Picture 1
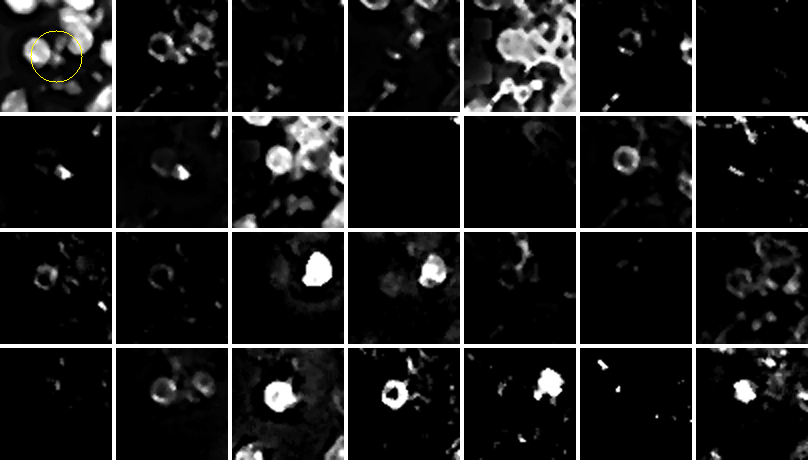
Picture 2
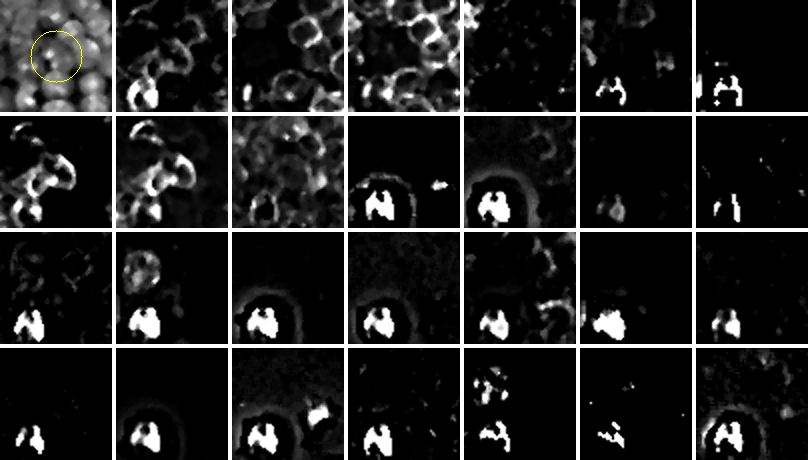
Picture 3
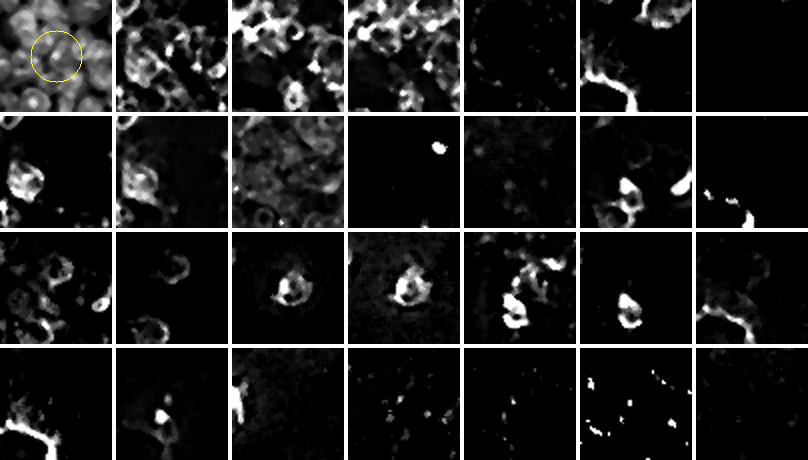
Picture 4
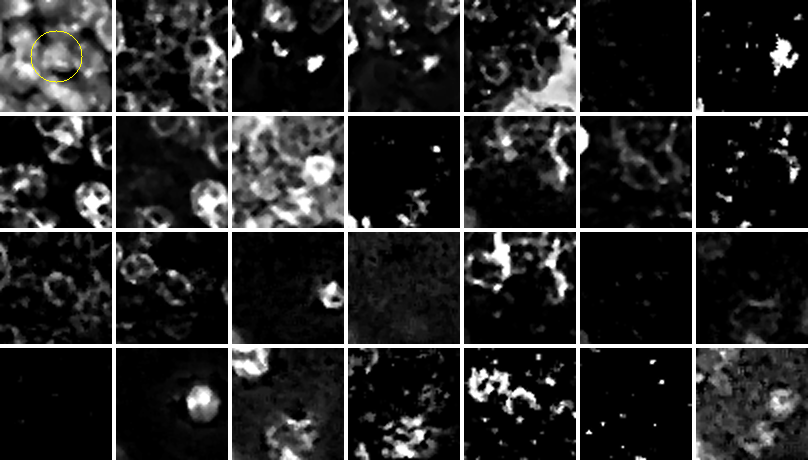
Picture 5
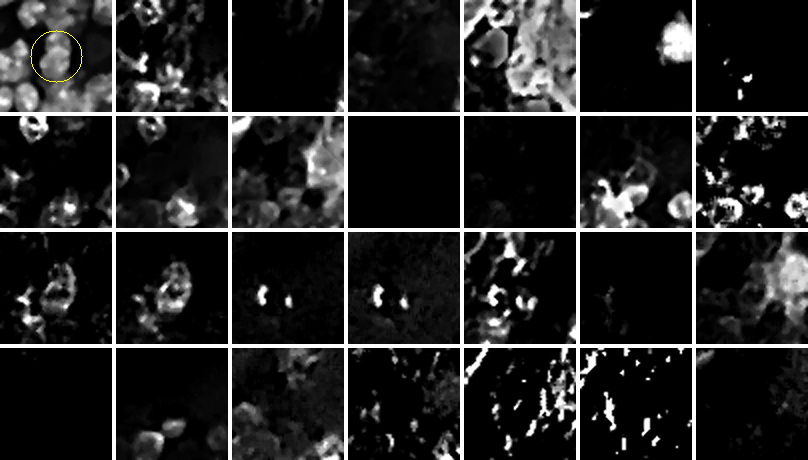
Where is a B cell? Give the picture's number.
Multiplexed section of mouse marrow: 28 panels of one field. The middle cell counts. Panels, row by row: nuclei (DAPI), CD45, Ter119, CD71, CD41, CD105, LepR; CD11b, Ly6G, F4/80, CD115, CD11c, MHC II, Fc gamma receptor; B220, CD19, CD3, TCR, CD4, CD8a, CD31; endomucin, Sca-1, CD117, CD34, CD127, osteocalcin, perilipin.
5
